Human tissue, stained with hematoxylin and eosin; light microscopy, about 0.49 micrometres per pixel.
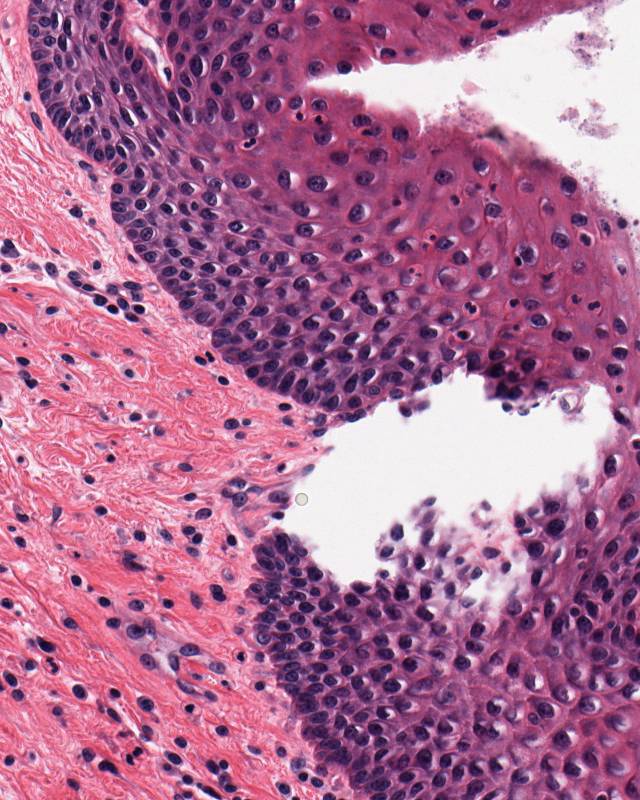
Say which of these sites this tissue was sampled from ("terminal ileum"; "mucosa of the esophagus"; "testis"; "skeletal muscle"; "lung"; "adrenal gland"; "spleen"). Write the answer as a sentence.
The site this tissue was sampled from is the mucosa of the esophagus.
